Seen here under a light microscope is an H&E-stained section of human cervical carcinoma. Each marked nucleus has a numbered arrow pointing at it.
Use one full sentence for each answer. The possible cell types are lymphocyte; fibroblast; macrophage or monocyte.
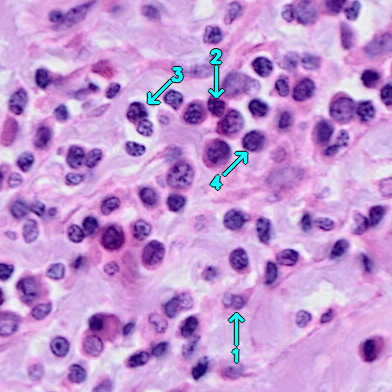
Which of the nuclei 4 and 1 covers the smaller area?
It is nucleus 1; nucleus 4 has about 1.5 times its area.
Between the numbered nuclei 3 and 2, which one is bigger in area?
The larger nucleus is 3, at roughly 1.5 times the area of 2.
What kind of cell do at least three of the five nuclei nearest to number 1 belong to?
Around number 1, most of the five nearest nuclei are those of lymphocytes.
